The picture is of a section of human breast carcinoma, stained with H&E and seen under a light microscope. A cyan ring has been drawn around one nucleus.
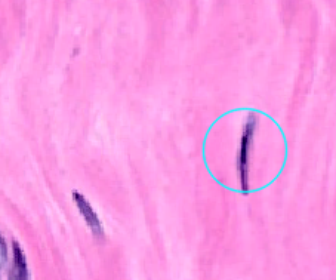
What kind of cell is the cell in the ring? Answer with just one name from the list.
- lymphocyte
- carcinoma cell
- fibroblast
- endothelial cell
fibroblast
